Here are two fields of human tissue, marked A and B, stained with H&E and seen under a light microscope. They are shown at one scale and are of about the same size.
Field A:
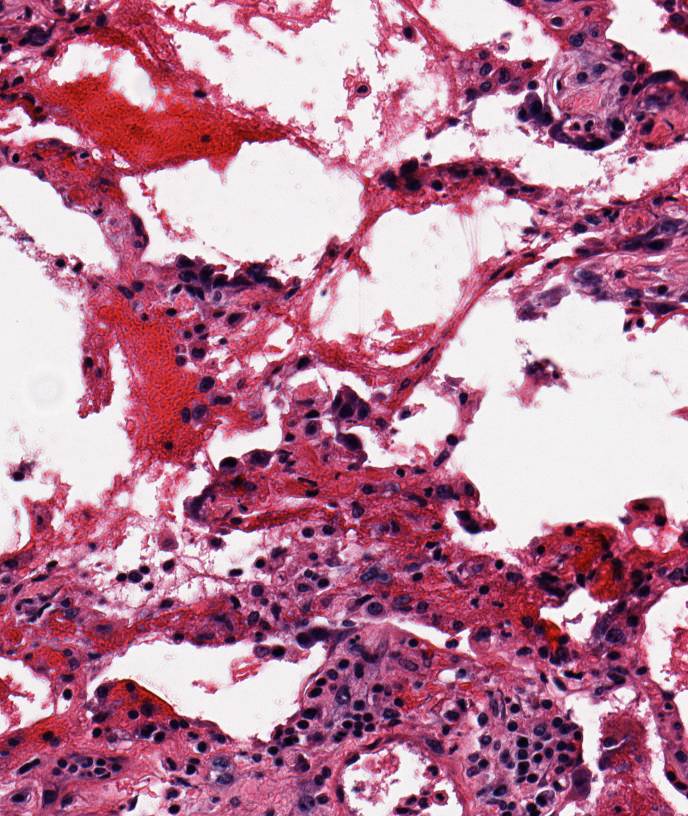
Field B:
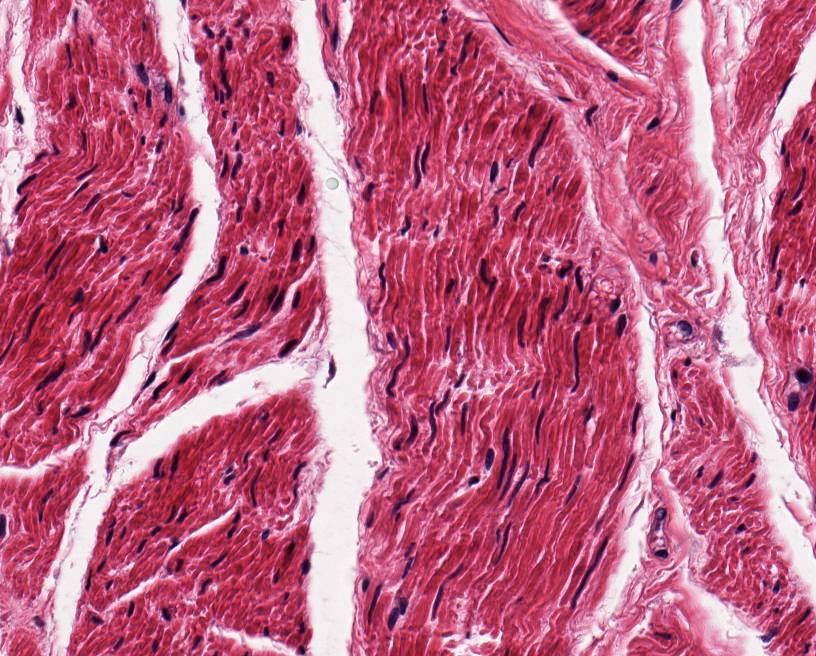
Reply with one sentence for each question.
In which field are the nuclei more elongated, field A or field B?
It is field B whose nuclei are the more elongated.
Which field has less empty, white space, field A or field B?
Less of field B is empty and white.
